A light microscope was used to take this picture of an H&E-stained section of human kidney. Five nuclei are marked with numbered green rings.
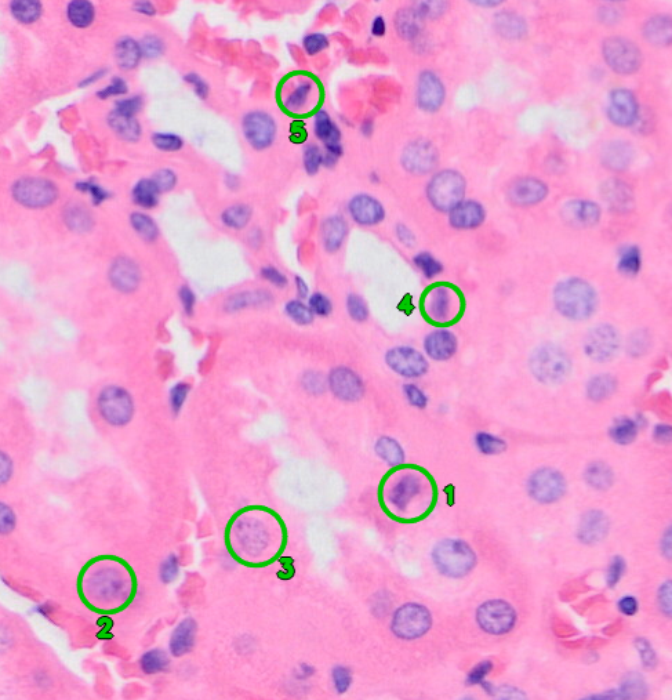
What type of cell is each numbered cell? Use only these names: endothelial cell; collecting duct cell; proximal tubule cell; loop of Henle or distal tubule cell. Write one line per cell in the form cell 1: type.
cell 1: proximal tubule cell
cell 2: proximal tubule cell
cell 3: proximal tubule cell
cell 4: collecting duct cell
cell 5: endothelial cell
